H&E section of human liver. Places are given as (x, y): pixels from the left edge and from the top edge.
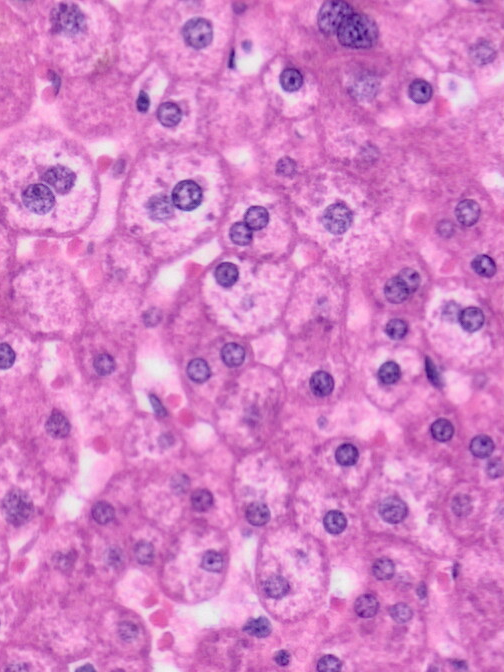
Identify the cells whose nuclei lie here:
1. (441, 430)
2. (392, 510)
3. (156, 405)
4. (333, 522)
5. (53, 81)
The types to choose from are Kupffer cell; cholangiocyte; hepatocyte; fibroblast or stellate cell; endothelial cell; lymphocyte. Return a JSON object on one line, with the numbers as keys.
{"1": "hepatocyte", "2": "hepatocyte", "3": "Kupffer cell", "4": "hepatocyte", "5": "endothelial cell"}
